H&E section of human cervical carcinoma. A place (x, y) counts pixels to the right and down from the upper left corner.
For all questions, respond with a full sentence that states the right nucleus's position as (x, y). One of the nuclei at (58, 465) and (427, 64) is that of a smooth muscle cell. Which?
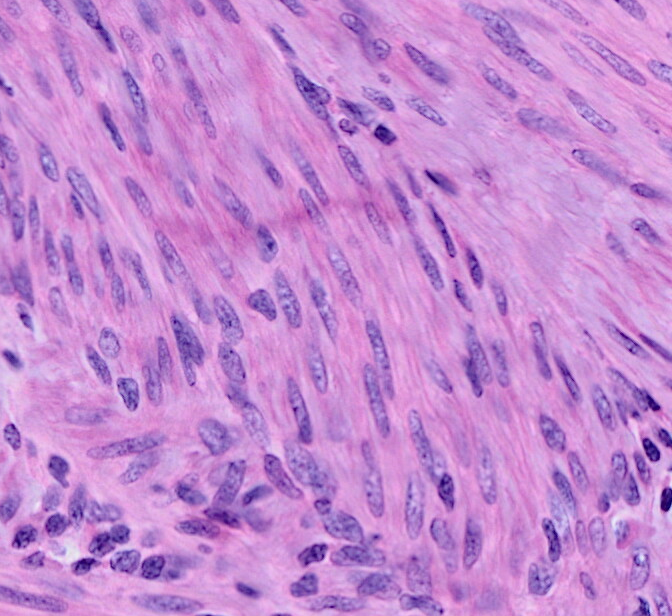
The nucleus at (427, 64) is the one of the two that belongs to a smooth muscle cell.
